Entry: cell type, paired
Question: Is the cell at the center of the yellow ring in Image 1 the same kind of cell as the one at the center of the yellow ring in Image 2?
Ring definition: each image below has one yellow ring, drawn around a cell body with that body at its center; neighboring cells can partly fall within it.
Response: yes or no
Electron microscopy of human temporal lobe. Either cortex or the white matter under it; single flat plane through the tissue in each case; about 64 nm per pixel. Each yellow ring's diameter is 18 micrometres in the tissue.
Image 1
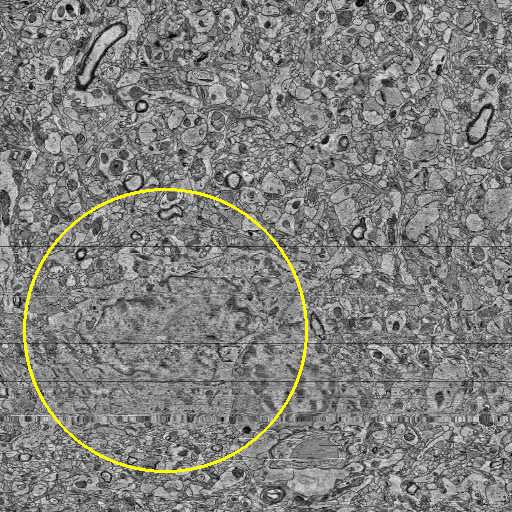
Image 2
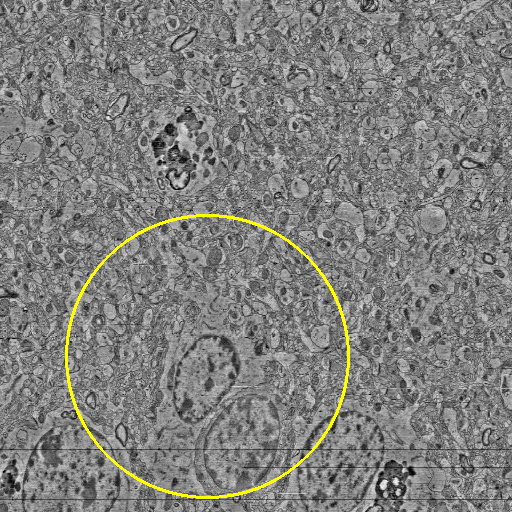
no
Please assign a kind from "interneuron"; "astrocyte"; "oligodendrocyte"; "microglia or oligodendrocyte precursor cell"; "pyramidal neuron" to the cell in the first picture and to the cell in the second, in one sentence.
In the first picture we have an interneuron, and in the second, an astrocyte.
